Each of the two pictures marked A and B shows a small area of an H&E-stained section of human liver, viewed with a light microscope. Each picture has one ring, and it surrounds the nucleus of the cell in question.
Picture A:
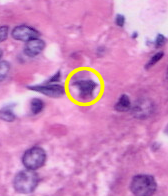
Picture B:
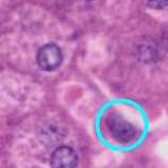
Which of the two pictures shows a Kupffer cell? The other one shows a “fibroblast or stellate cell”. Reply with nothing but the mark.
B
